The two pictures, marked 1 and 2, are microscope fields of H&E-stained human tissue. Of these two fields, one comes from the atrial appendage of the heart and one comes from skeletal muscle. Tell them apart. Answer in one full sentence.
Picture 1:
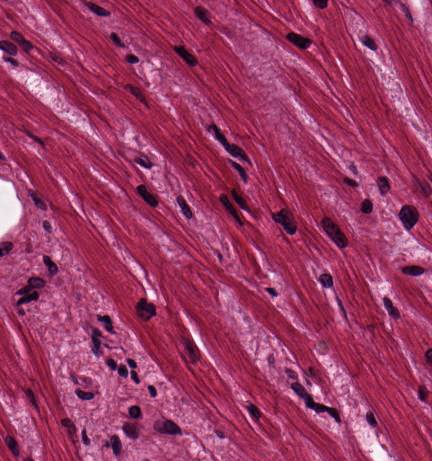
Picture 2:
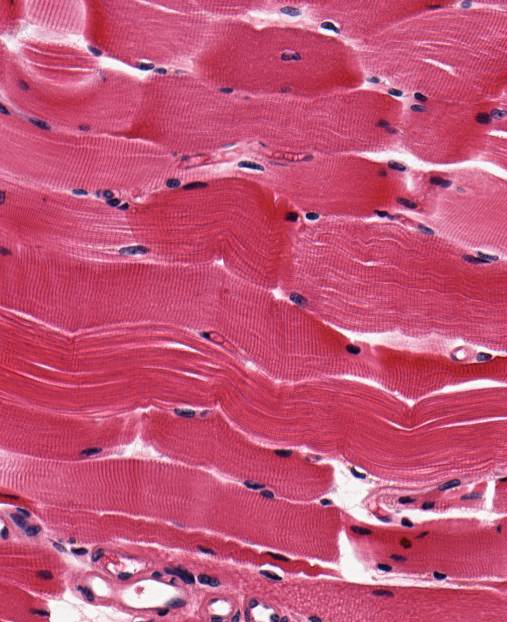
It is picture 1 that comes from the atrial appendage of the heart, and picture 2 that comes from skeletal muscle.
